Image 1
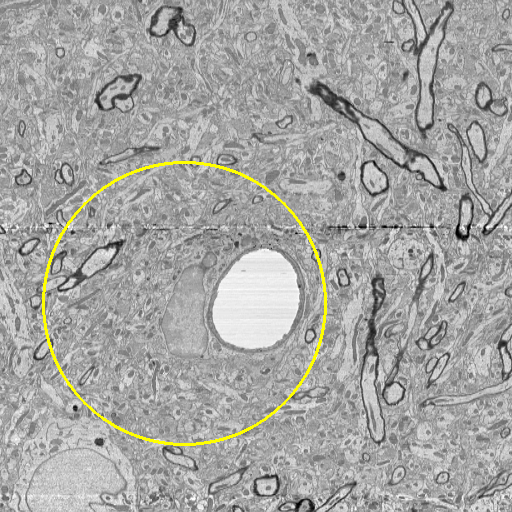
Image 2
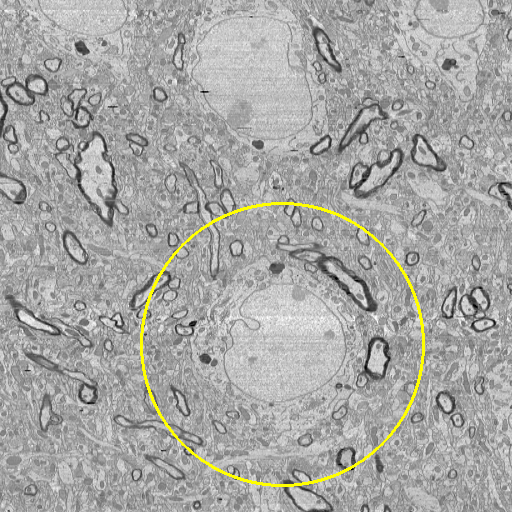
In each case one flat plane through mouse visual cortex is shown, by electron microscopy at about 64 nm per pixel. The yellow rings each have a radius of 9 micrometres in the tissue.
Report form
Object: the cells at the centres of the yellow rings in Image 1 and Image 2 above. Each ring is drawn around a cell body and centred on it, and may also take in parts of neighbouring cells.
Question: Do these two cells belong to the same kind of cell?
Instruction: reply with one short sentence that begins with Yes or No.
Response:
No, they belong to two kinds of cell.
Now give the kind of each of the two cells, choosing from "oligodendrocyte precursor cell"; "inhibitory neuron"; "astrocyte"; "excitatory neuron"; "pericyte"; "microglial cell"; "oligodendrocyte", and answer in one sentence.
The cell in the first picture is a microglial cell, and the cell in the second is an excitatory neuron.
